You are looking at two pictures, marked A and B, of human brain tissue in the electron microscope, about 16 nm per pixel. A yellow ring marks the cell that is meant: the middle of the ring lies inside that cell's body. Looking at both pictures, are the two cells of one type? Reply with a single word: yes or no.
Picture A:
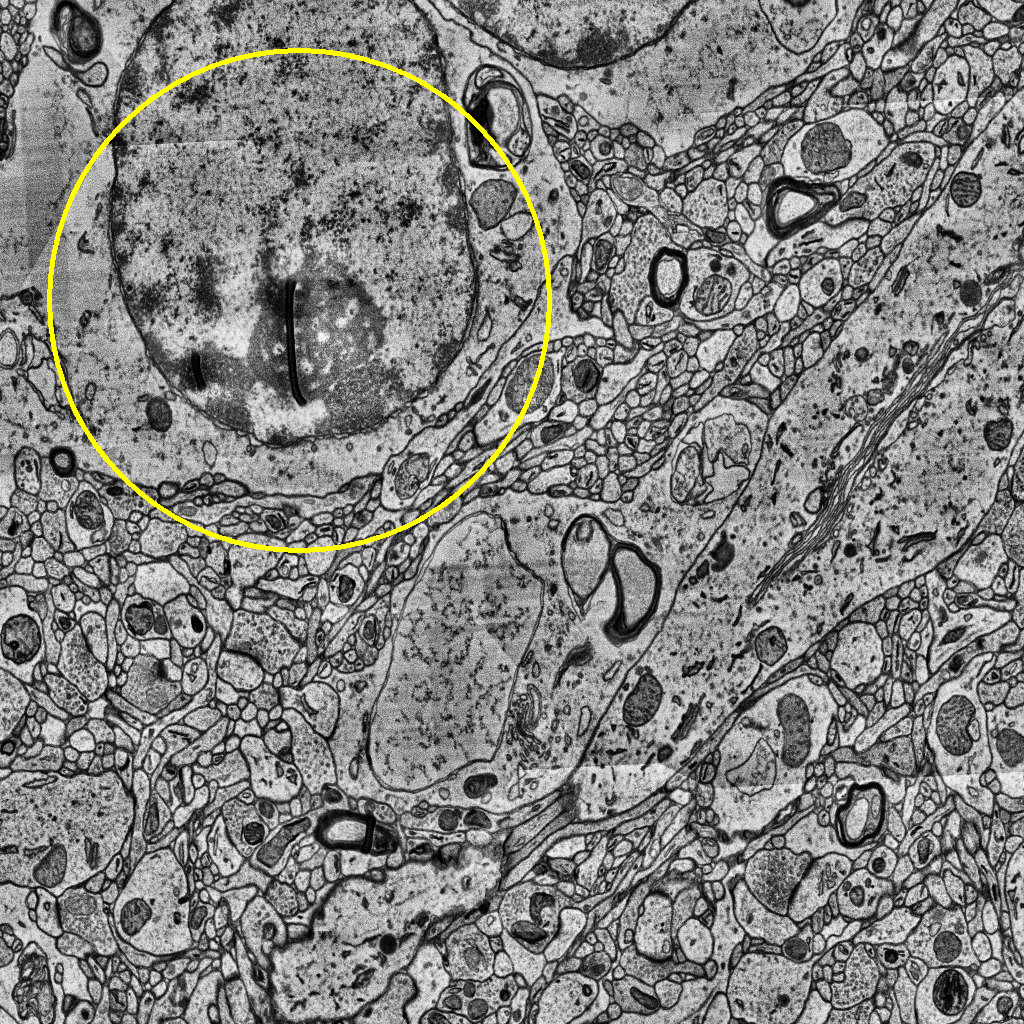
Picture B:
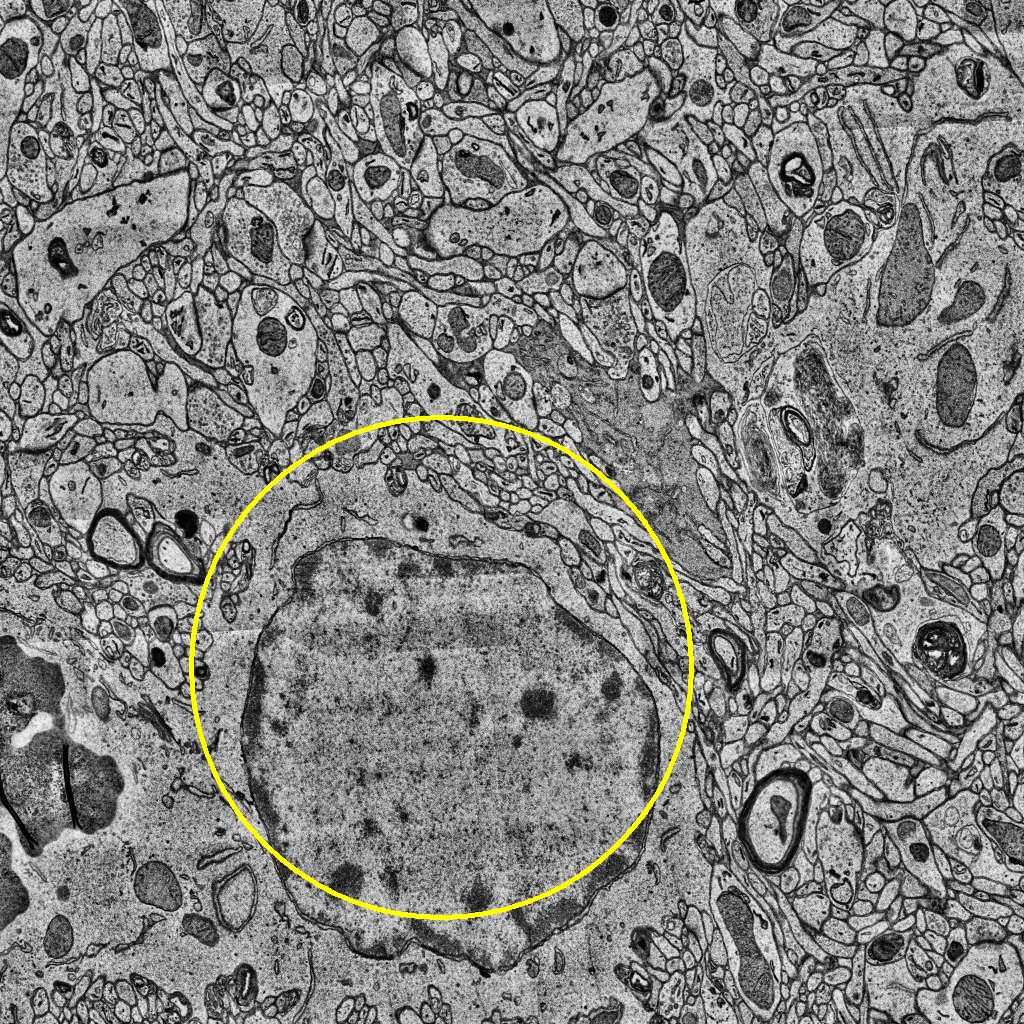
yes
